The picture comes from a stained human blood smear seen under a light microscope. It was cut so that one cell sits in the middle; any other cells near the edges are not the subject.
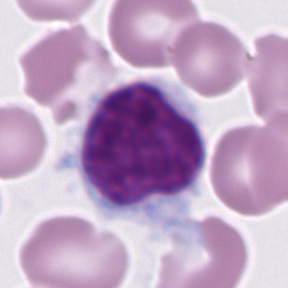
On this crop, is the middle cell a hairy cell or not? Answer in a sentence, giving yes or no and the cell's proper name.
Yes, the cell at the centre of the field is a hairy cell.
